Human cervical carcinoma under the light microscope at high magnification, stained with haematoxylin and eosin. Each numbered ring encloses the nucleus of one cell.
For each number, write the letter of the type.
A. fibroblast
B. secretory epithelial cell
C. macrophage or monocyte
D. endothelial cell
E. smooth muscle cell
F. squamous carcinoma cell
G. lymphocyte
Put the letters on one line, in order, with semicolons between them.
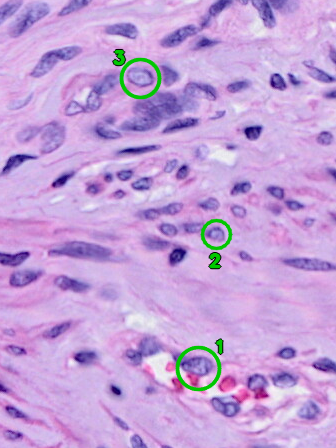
D; E; D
